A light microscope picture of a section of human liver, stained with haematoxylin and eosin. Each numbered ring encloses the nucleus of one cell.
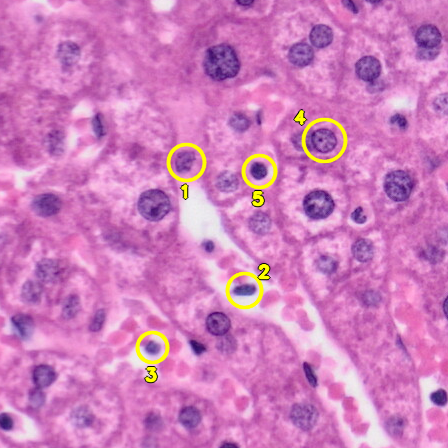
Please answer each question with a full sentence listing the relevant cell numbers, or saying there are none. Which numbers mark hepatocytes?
Cell 4 is a hepatocyte, and that holds for no other numbered cell.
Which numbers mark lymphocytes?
The cells labelled 2, 3 and 5 in this section are lymphocytes.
